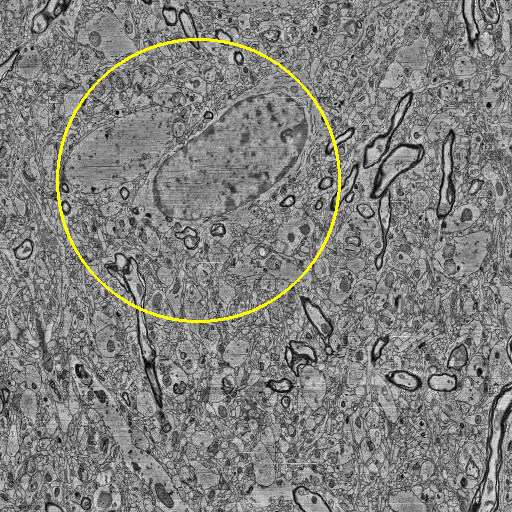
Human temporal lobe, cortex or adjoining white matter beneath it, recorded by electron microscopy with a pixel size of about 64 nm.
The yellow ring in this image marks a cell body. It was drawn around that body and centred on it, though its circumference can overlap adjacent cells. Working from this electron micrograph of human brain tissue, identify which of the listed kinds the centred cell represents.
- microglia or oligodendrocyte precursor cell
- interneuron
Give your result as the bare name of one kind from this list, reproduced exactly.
microglia or oligodendrocyte precursor cell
